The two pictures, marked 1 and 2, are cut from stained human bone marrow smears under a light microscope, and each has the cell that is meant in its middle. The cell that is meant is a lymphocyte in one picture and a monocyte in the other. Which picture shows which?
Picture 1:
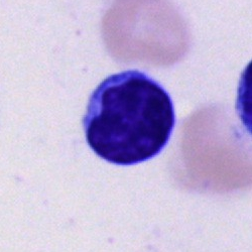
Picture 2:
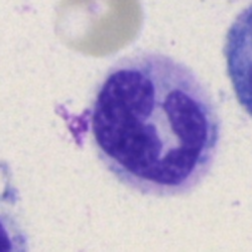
1: lymphocyte
2: monocyte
